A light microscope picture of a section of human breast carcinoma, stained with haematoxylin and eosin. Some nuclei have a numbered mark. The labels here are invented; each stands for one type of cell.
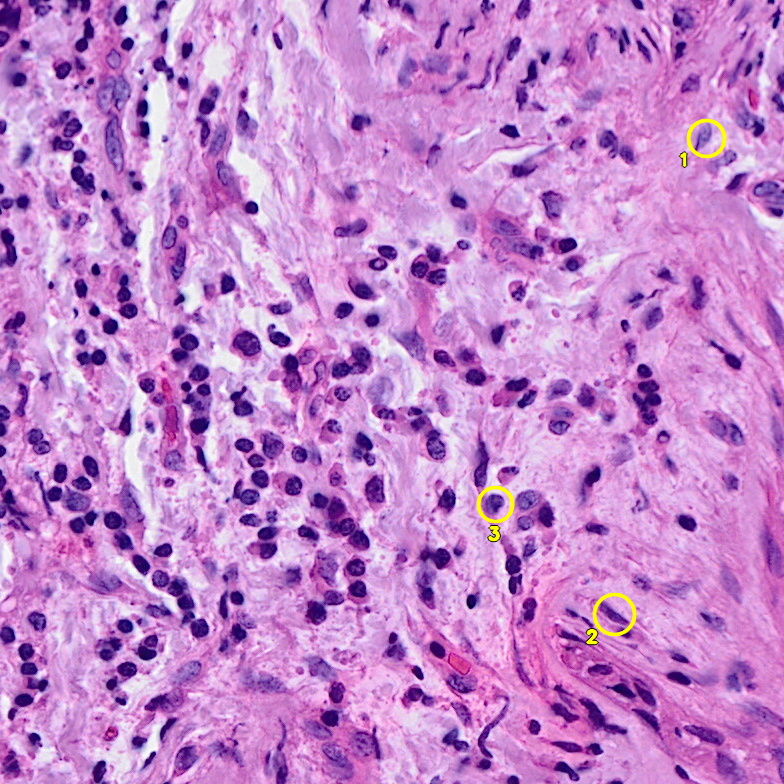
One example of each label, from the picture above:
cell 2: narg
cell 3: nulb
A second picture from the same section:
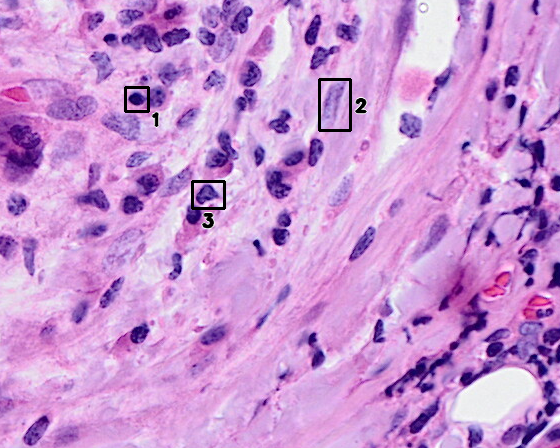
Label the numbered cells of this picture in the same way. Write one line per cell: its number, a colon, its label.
1: nulb
2: narg
3: nulb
